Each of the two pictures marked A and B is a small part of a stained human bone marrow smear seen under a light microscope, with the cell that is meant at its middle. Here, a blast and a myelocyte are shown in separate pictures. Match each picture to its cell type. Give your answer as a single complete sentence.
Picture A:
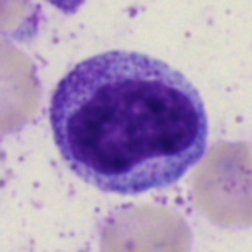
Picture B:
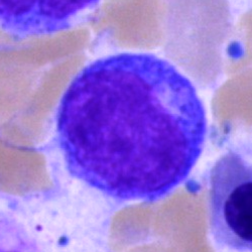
Picture A shows a myelocyte and picture B shows a blast.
